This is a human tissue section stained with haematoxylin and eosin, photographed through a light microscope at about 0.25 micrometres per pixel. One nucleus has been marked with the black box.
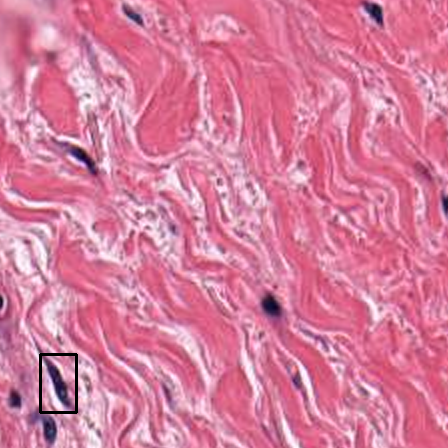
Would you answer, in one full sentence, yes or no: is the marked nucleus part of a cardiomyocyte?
No, a cardiomyocyte is not the cell of the marked nucleus; a supporting cell is.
